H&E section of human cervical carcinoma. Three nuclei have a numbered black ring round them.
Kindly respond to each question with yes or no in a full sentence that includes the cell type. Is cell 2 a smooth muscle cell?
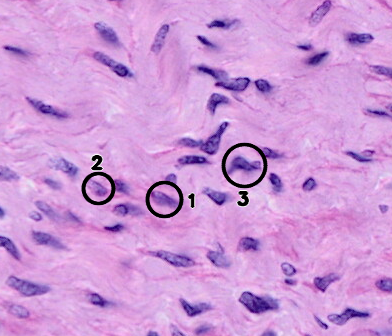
Yes. The cell carrying number 2 is a smooth muscle cell.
